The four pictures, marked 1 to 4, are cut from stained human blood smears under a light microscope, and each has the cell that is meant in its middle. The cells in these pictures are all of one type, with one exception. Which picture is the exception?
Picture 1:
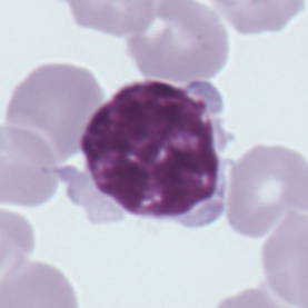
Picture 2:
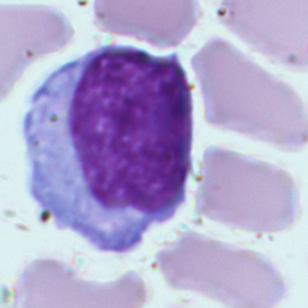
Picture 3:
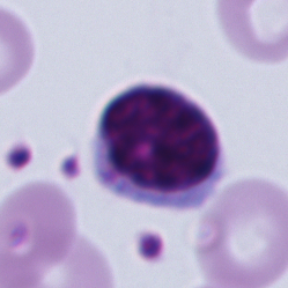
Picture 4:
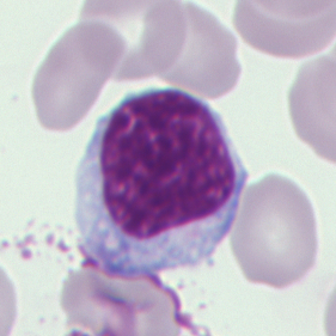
2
